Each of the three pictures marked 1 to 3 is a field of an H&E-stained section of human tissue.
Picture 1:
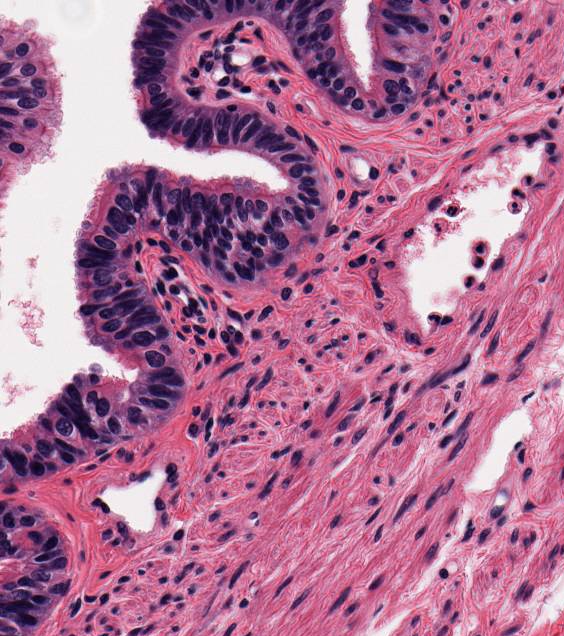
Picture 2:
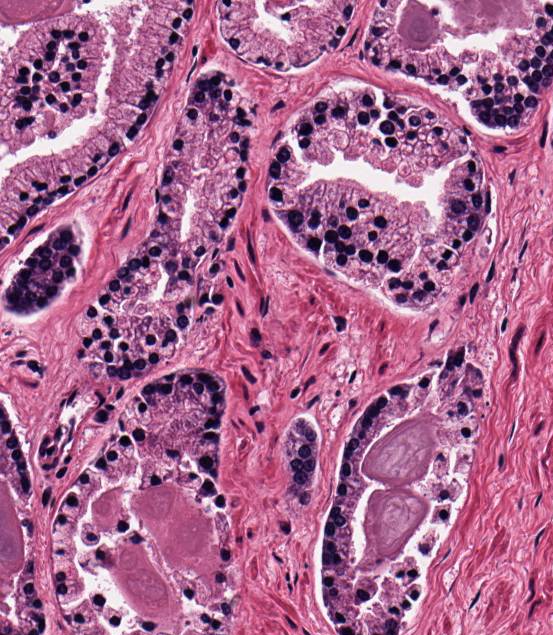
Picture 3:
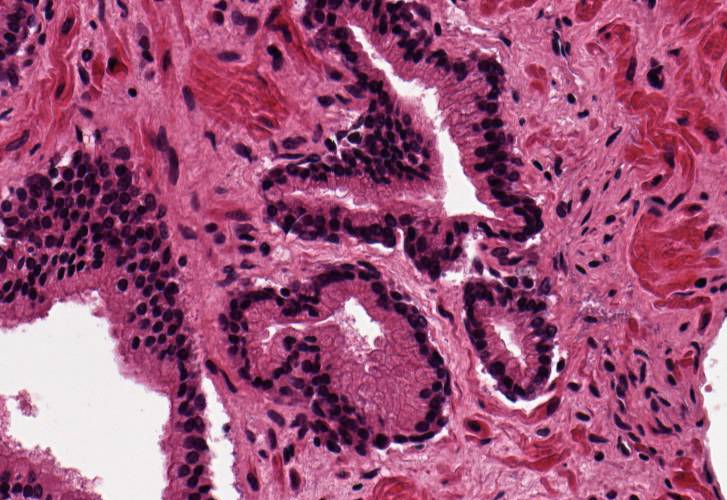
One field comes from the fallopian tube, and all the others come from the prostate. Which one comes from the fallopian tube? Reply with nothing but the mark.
1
